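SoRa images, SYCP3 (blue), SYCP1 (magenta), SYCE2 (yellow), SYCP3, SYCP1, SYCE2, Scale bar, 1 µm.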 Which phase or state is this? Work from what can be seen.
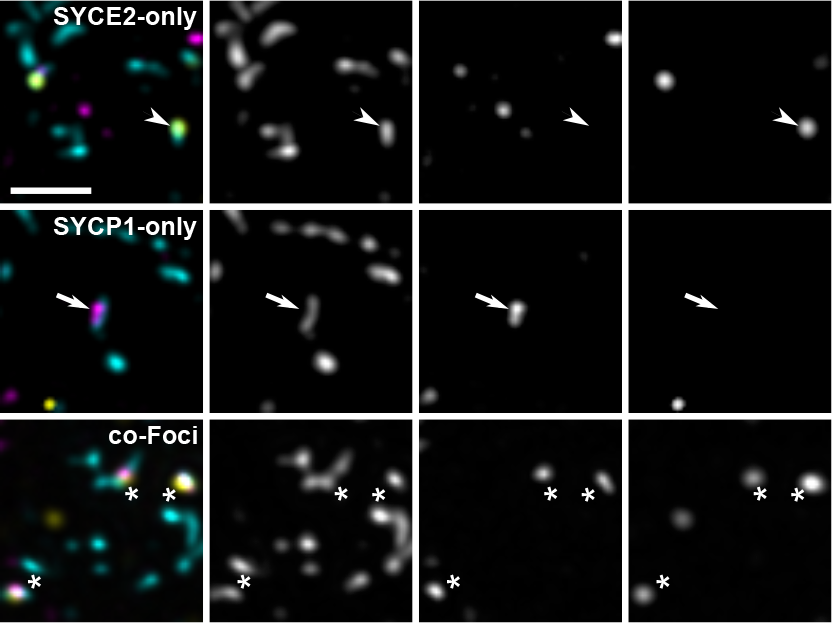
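Axes appear as short, separate fragments rather than full-length threads. Most axes lie singly, not paired along their length. The answer: leptotene.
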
